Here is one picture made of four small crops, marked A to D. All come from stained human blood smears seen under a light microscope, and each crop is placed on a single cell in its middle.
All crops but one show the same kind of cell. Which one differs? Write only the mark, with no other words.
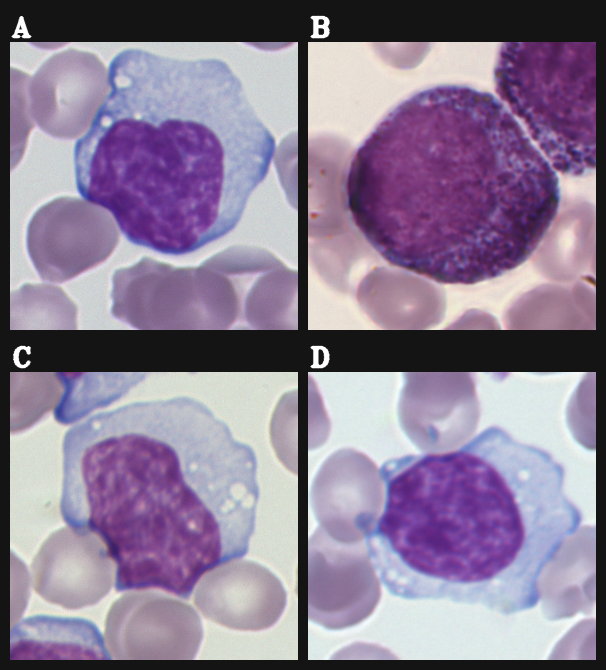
B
